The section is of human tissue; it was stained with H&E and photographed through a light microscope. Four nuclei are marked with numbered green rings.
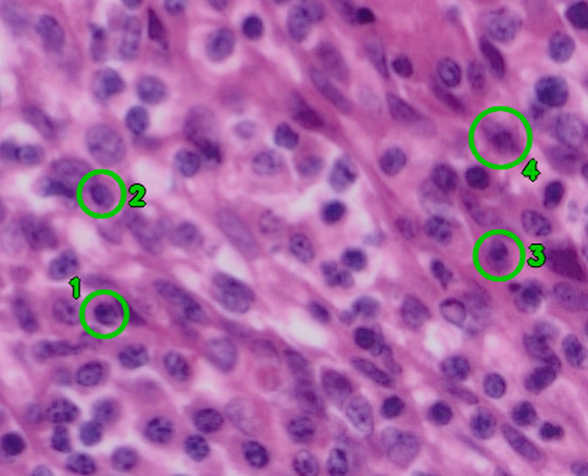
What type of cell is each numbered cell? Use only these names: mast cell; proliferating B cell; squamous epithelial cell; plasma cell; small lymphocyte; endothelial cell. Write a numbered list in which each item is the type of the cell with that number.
1. plasma cell
2. squamous epithelial cell
3. squamous epithelial cell
4. squamous epithelial cell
